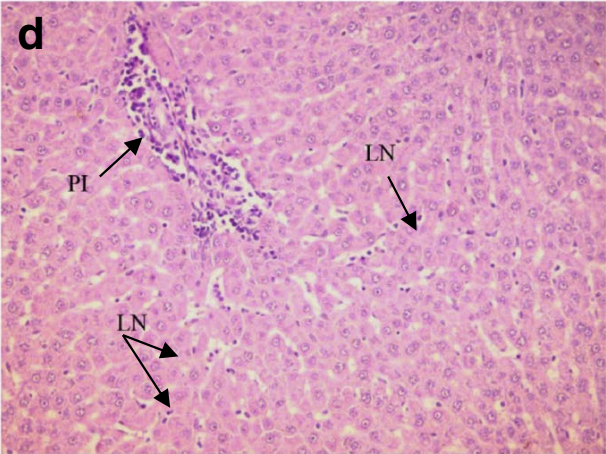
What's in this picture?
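Liver tissue with a portal area whose connective tissue holds a dense cluster of small cells with dark purple round nuclei, inflammatory cells. Around it, hepatocytes with pink cytoplasm and round nuclei form plates between sinusoids, and in several places the hepatocytes look paler with blurred outlines, foci of lytic necrosis.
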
